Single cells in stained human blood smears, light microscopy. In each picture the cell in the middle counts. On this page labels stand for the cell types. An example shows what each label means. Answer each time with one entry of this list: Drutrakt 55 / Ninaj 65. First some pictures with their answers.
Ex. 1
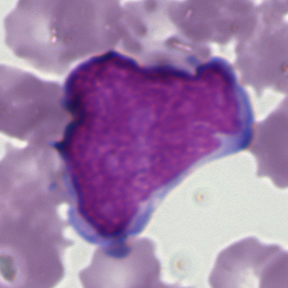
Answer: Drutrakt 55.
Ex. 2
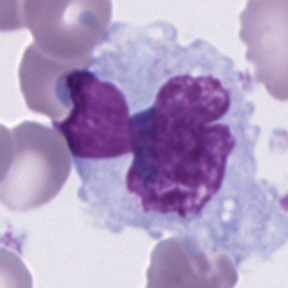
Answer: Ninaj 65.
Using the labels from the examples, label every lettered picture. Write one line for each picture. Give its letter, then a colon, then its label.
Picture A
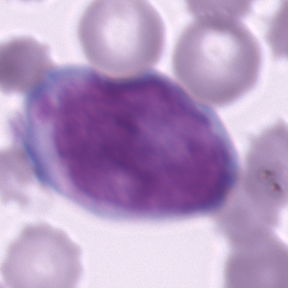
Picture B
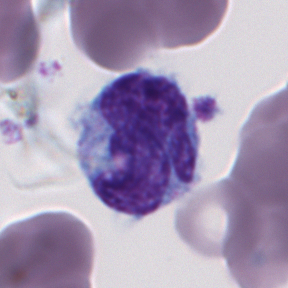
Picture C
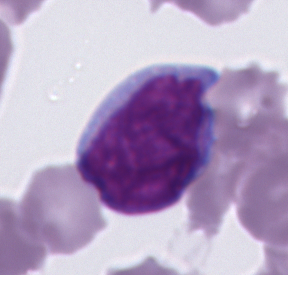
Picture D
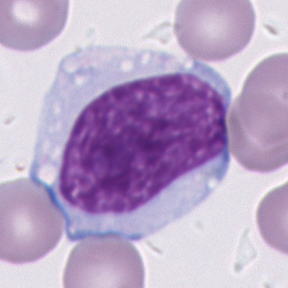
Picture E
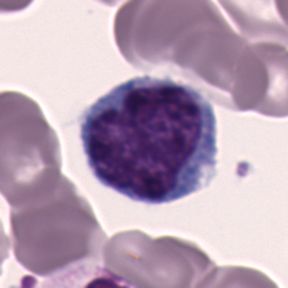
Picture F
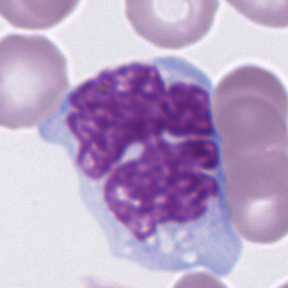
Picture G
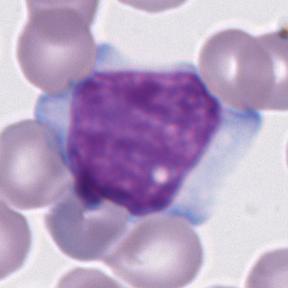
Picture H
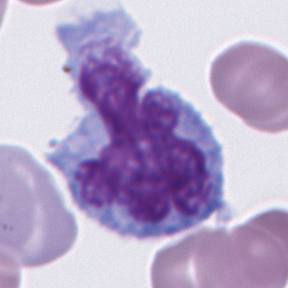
A: Drutrakt 55.
B: Ninaj 65.
C: Drutrakt 55.
D: Drutrakt 55.
E: Ninaj 65.
F: Ninaj 65.
G: Drutrakt 55.
H: Ninaj 65.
